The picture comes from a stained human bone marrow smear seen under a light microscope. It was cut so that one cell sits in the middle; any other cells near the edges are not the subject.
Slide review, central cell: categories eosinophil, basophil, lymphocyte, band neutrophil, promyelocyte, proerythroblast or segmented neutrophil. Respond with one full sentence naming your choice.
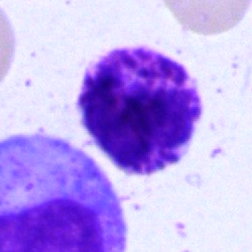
Occupying the centre of the crop is a basophil.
